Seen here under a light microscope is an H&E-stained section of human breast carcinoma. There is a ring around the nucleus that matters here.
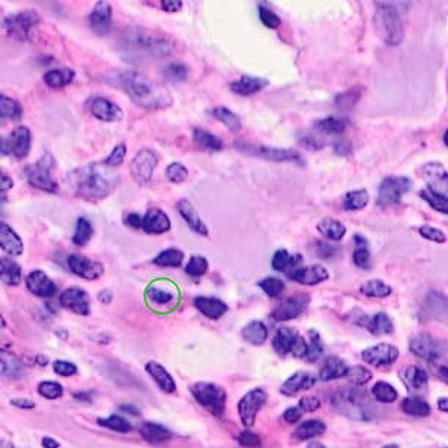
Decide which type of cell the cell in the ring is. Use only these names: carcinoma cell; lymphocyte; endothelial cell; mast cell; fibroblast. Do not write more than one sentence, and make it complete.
The correct response here is that the cell in the ring is a lymphocyte.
